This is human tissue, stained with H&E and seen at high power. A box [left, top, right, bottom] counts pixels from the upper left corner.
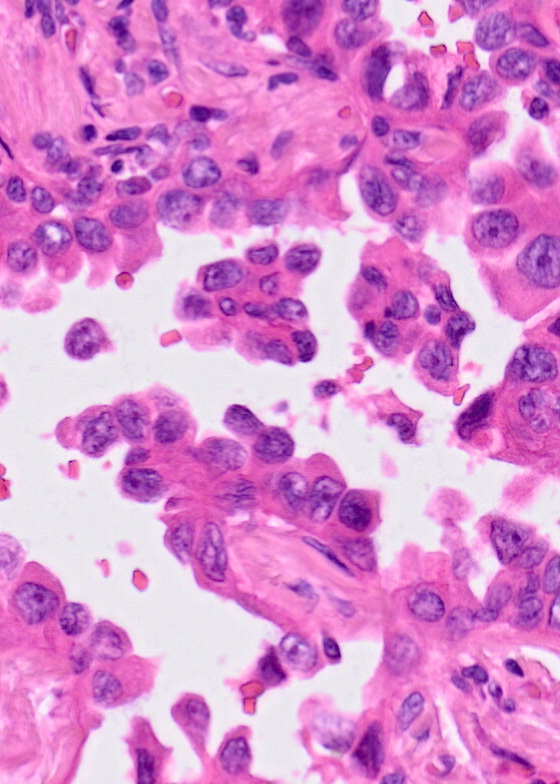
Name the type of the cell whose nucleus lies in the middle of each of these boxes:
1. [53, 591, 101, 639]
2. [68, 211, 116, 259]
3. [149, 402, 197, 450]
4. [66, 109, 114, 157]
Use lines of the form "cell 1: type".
cell 1: carcinoma cell
cell 2: carcinoma cell
cell 3: carcinoma cell
cell 4: plasma cell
